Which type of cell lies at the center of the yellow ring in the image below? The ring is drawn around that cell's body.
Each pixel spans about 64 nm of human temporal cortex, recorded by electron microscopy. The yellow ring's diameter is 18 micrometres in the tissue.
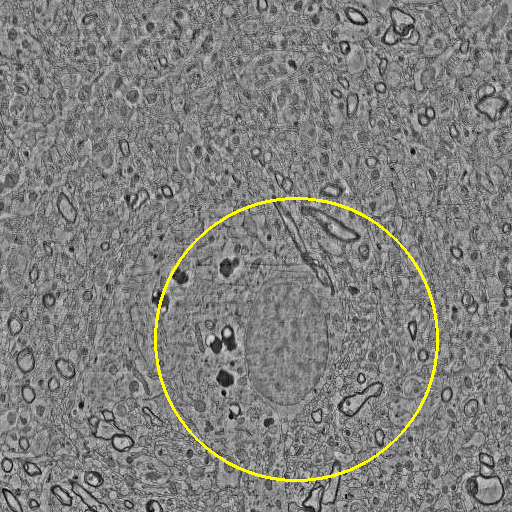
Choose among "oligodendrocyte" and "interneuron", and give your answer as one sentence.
The cell body at the center belongs to an oligodendrocyte.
